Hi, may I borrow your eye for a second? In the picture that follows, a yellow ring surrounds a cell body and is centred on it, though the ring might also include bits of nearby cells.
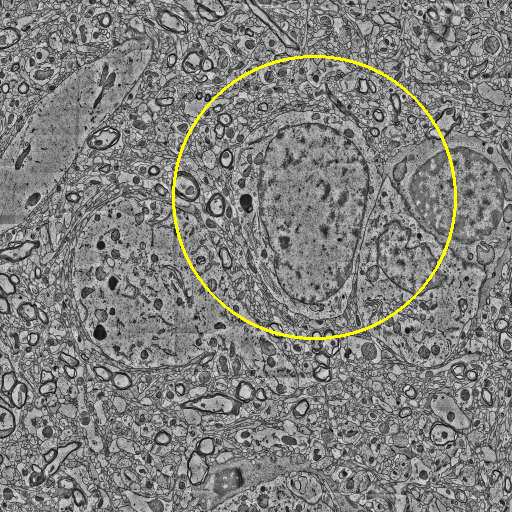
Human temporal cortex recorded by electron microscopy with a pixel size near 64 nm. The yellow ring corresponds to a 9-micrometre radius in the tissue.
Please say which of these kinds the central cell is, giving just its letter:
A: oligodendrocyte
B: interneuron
B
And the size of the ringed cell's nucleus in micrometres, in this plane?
Approximately 12 micrometres long and 7 micrometres wide, so clearly longer than it is wide in this plane.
